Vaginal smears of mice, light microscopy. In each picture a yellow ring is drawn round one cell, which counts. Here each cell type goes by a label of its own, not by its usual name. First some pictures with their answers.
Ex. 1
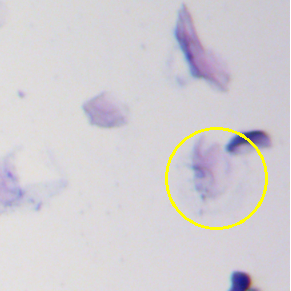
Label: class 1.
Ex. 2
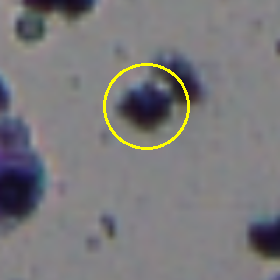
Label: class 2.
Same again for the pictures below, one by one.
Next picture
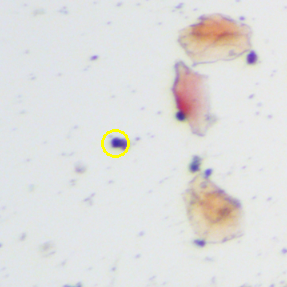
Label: class 2.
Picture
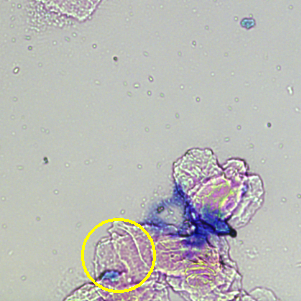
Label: class 1.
